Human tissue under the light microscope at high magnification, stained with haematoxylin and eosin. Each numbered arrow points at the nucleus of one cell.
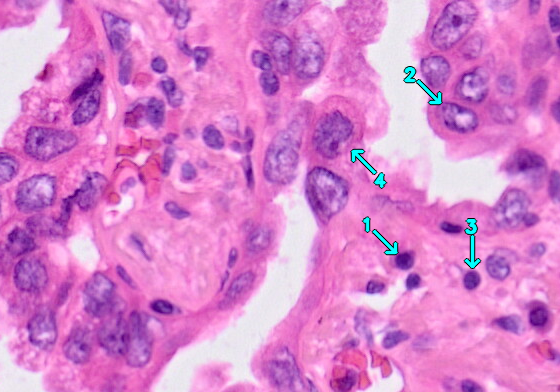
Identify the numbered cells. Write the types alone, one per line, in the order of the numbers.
plasma cell
carcinoma cell
lymphocyte
carcinoma cell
